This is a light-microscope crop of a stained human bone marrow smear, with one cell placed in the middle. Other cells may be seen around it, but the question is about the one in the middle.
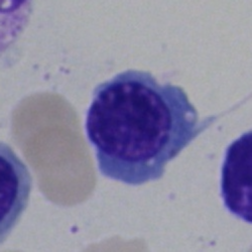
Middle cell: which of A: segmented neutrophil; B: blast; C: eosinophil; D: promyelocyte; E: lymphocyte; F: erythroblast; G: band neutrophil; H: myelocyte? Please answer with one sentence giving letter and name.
Option F is correct in that the central cell is an erythroblast.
